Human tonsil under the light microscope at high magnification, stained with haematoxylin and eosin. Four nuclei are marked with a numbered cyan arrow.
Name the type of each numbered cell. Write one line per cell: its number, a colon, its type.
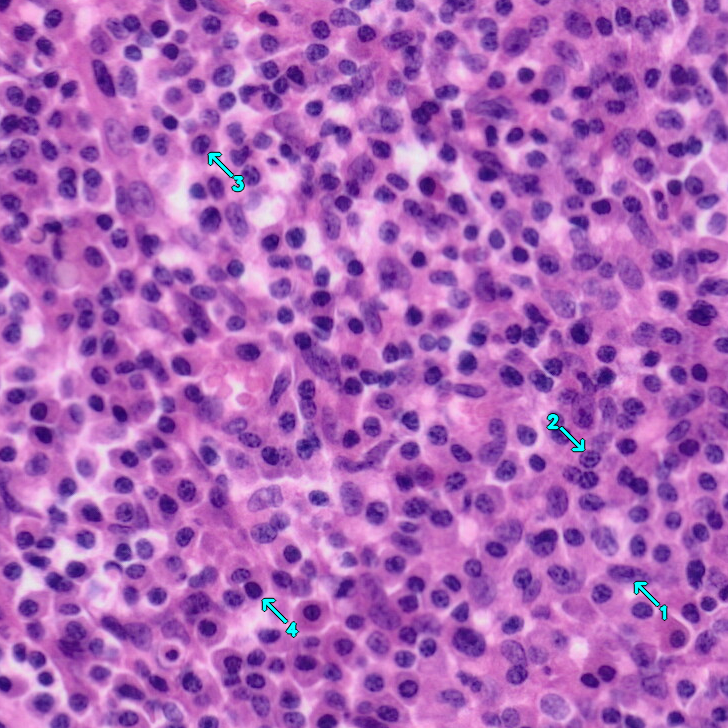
1: squamous epithelial cell
2: plasma cell
3: plasma cell
4: plasma cell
